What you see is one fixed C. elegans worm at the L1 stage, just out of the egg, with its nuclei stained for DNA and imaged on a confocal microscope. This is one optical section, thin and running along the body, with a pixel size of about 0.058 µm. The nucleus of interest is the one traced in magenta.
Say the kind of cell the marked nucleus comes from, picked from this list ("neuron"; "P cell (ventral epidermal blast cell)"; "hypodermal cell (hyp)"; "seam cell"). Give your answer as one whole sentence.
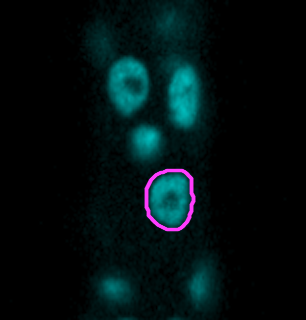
The nucleus comes from a seam cell.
